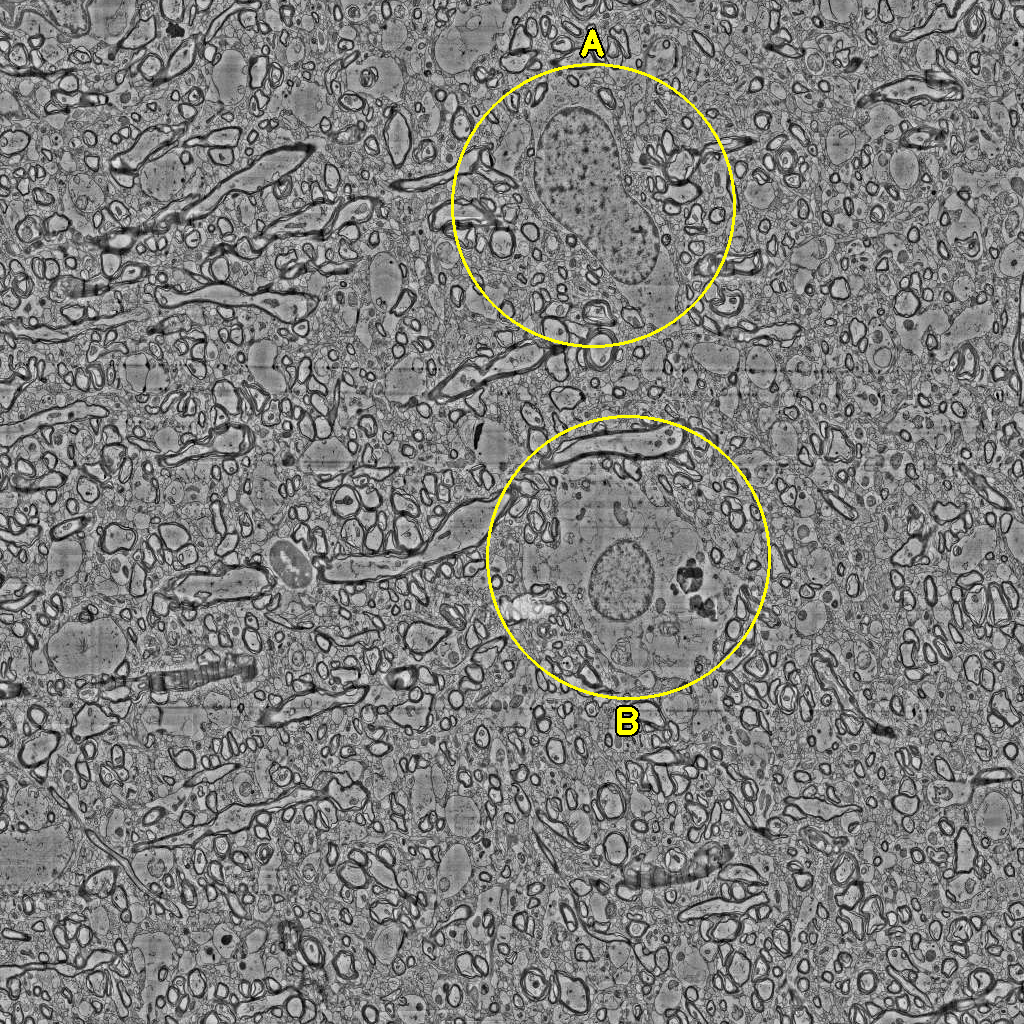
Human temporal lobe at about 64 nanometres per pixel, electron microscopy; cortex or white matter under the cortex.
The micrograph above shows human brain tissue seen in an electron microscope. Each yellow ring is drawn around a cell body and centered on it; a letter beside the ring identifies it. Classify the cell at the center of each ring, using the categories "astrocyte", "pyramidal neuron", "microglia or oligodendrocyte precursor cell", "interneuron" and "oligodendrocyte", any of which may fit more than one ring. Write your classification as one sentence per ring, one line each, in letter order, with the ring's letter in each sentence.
Ring A is centered on a microglial cell or oligodendrocyte precursor cell.
Ring B is centered on an astrocyte.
